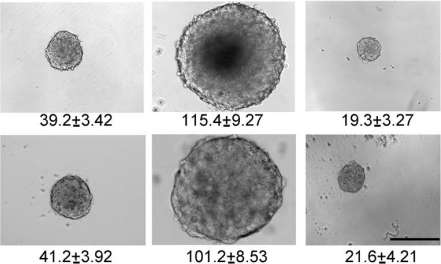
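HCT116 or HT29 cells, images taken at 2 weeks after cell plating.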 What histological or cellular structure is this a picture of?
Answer: spheres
